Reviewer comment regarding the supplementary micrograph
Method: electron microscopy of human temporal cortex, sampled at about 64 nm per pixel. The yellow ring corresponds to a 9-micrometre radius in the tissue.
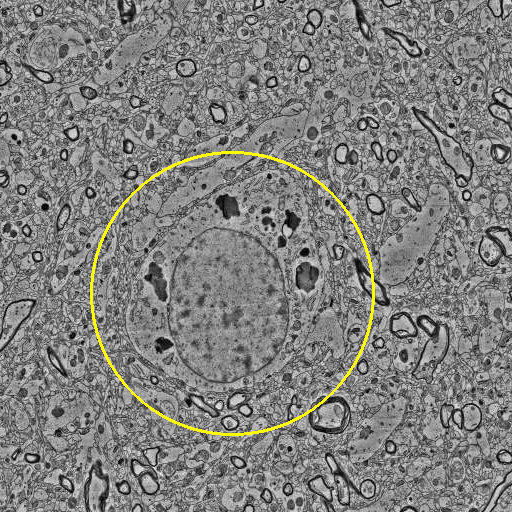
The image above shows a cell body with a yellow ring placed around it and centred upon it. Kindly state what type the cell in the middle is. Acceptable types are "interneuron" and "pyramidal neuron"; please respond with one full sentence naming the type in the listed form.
In the image above, the cell on which the yellow ring is centred is an interneuron.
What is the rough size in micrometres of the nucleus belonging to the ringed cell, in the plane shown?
The nucleus of the ringed cell is approximately 10 by 8 micrometres in this plane.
